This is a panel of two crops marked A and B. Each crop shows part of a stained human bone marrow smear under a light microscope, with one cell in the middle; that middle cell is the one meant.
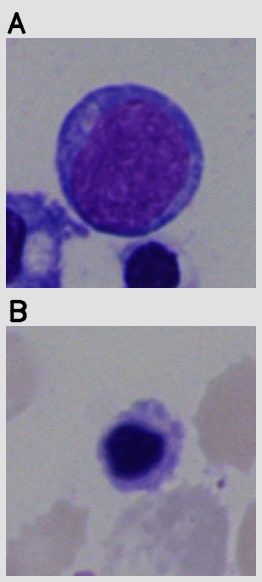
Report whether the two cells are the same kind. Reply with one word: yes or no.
no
